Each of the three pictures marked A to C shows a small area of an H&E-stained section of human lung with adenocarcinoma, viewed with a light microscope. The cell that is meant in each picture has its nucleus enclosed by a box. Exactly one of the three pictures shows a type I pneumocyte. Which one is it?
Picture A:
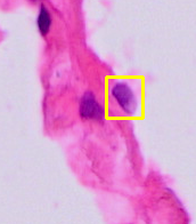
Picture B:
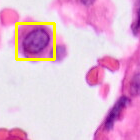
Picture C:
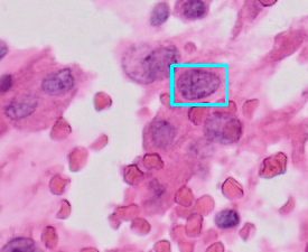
A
